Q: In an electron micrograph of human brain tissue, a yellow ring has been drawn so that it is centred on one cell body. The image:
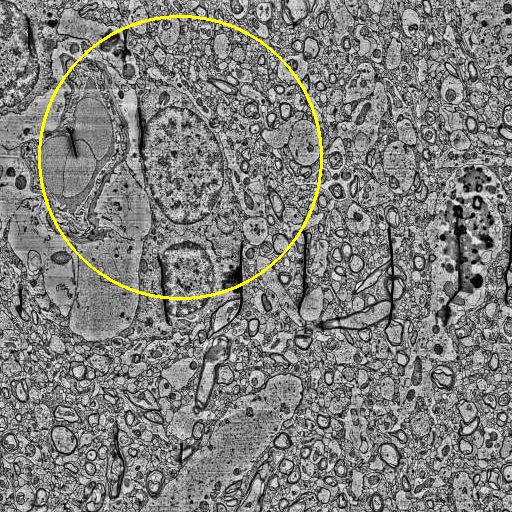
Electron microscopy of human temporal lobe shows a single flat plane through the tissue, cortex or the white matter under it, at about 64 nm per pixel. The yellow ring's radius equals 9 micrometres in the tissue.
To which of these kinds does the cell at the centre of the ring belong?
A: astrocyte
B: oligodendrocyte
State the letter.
B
